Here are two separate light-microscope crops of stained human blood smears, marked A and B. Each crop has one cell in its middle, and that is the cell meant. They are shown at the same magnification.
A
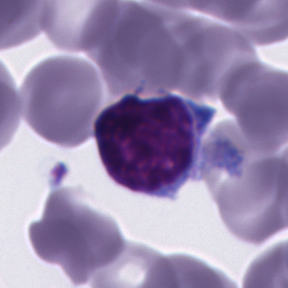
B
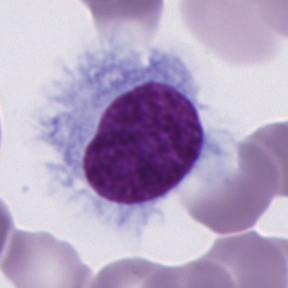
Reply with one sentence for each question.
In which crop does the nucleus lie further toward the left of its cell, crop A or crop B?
It is the nucleus in crop A that lies further toward the left of its cell.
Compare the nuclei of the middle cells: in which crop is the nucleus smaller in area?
It is the nucleus in crop A; the one in crop B has about 1.5 times its area.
